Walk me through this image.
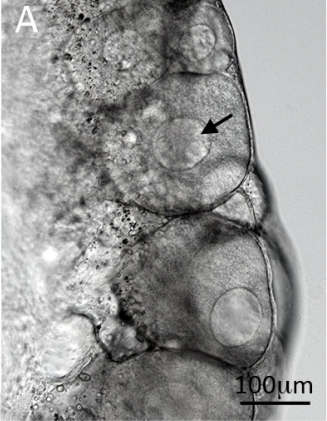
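Within the oocytes a large pale round nucleus is visible. Smaller rounded cells and granular tissue lie toward the inner side.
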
